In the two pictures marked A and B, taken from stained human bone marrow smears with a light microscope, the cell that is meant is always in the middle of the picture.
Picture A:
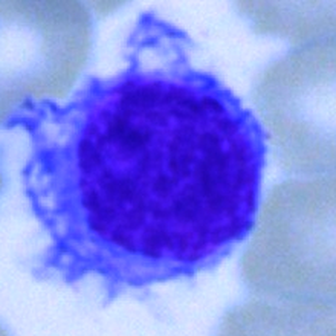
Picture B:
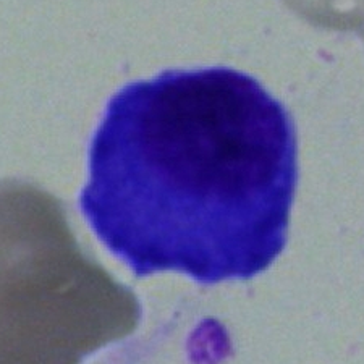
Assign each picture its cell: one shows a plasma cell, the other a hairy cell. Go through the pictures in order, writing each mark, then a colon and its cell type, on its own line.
A: hairy cell
B: plasma cell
